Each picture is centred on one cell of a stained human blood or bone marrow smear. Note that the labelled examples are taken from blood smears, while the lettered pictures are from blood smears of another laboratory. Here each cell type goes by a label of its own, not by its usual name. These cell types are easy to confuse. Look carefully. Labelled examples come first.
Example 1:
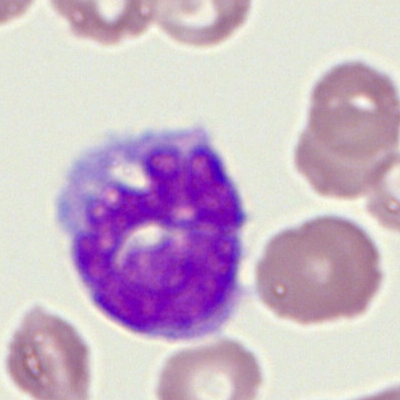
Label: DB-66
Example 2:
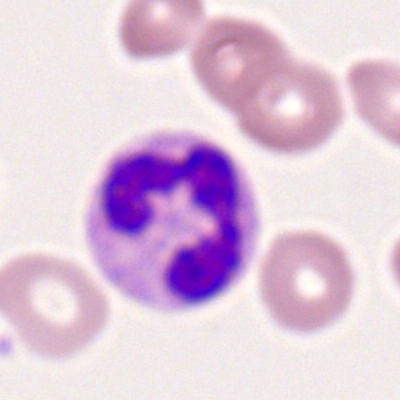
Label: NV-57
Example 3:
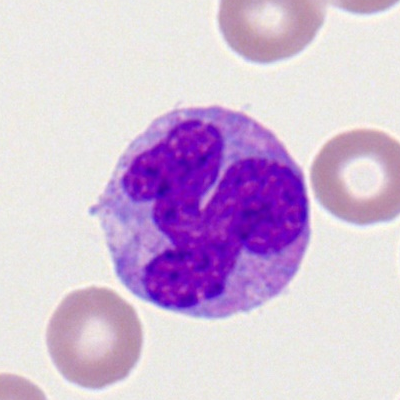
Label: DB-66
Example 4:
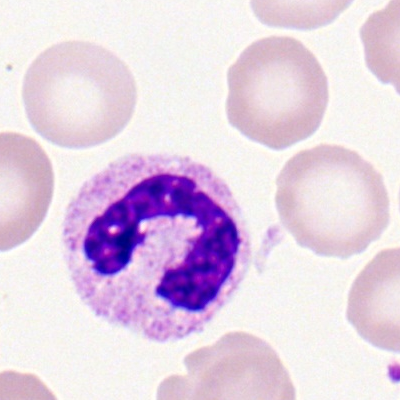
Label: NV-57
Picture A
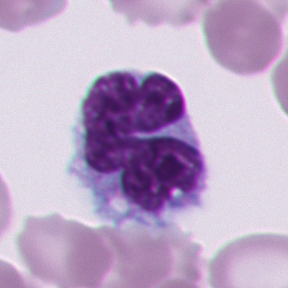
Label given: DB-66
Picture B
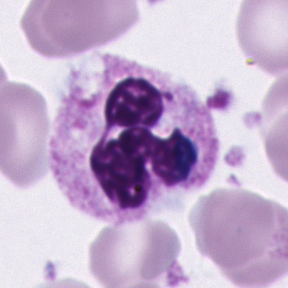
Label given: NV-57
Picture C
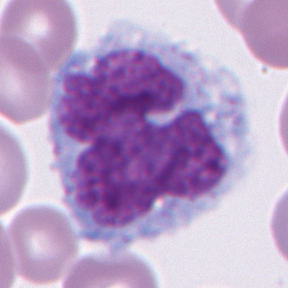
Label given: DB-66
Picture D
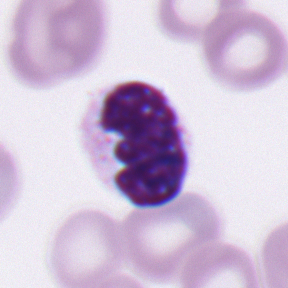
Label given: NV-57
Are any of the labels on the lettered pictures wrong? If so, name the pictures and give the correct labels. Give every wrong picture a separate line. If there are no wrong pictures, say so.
All correct.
